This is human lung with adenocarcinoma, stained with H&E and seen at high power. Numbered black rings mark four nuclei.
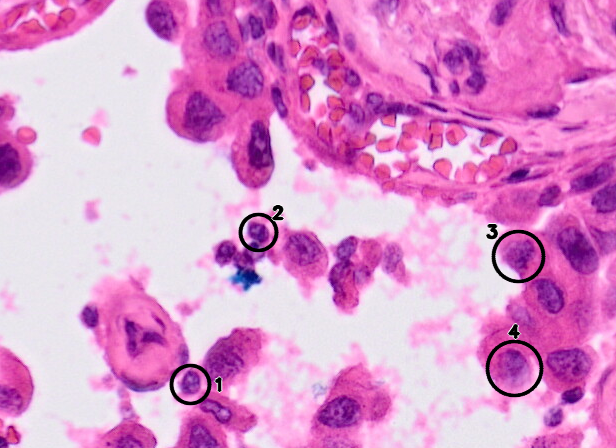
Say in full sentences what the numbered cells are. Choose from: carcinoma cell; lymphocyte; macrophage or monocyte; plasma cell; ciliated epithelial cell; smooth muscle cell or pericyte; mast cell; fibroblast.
Cells 1 and 2 are lymphocytes. Cells 3 and 4 are carcinoma cells.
